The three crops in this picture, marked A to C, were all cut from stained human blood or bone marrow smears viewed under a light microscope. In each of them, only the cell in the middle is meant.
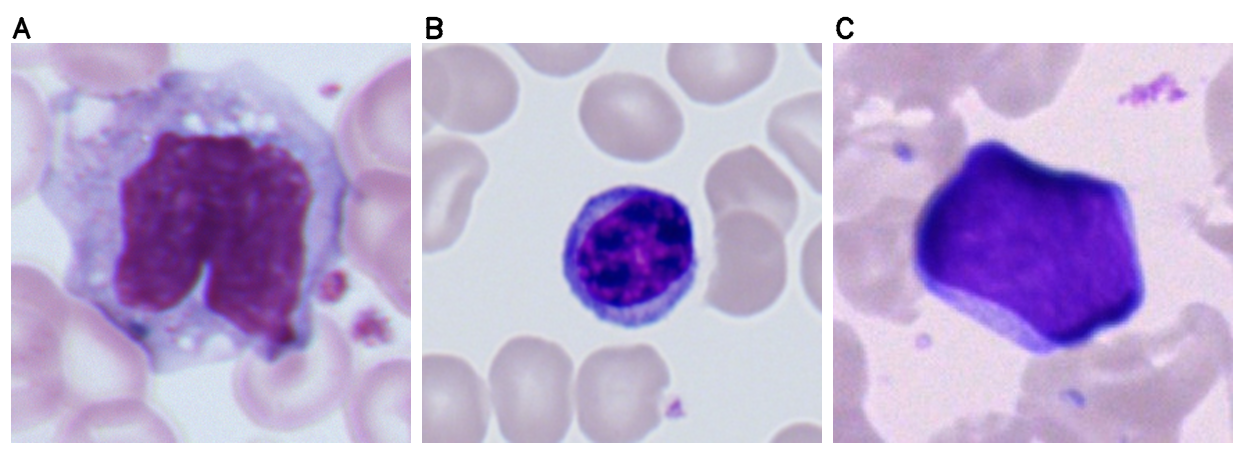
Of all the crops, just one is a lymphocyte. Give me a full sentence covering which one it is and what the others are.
Crop B displays a lymphocyte, whereas crop A is a monocyte and crop C is a blast.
